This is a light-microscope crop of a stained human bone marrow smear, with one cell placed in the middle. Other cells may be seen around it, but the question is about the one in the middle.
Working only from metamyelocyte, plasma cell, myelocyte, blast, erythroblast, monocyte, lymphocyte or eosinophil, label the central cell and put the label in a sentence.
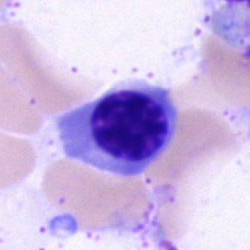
The centered cell in this crop is an erythroblast.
